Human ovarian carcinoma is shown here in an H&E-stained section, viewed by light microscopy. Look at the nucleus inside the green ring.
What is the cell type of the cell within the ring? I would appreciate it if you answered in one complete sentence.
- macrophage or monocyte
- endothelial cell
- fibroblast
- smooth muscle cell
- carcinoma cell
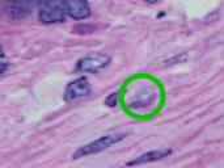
Assigned to a cell type, the cell within the ring is a fibroblast.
